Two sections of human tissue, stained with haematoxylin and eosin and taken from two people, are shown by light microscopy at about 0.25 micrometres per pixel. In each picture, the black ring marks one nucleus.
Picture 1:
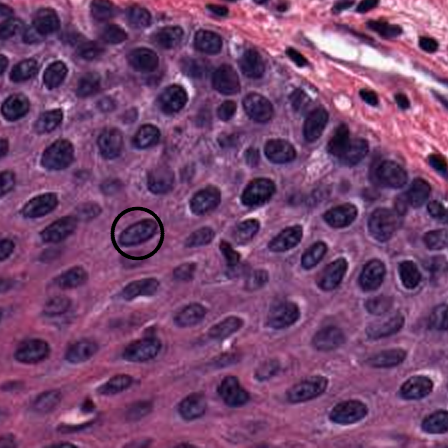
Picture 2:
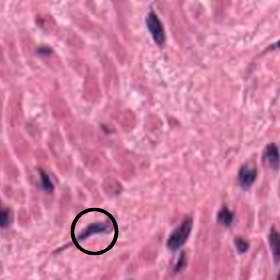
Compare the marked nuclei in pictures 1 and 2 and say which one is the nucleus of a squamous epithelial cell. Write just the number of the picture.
1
